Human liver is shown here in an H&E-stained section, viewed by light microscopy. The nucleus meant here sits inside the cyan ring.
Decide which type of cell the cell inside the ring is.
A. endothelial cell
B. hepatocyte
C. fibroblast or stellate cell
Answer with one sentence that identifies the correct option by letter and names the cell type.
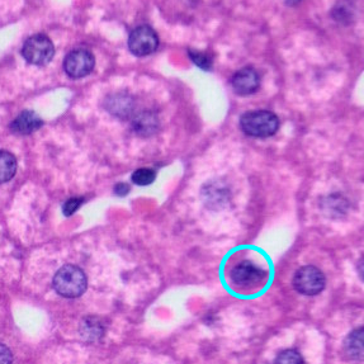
Option A is accurate, for the cell inside the ring is an endothelial cell.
